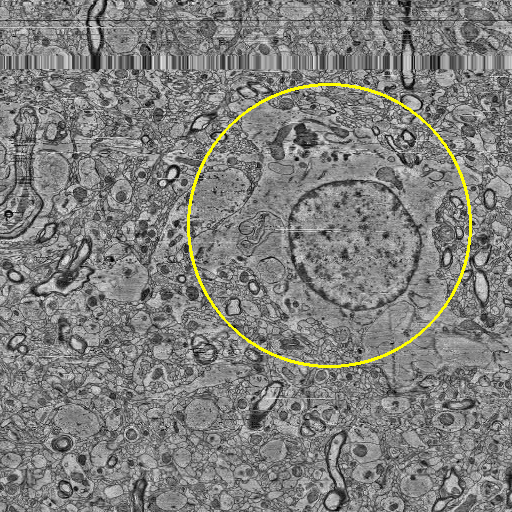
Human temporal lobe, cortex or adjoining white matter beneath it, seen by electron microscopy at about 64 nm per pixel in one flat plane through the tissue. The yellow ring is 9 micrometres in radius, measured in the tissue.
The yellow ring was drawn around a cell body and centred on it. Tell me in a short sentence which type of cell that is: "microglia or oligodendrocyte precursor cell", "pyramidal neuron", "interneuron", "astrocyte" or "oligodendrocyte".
The cell at the ring's centre is an astrocyte.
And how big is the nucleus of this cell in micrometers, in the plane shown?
The nucleus is approximately 8 micrometers across in this plane.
